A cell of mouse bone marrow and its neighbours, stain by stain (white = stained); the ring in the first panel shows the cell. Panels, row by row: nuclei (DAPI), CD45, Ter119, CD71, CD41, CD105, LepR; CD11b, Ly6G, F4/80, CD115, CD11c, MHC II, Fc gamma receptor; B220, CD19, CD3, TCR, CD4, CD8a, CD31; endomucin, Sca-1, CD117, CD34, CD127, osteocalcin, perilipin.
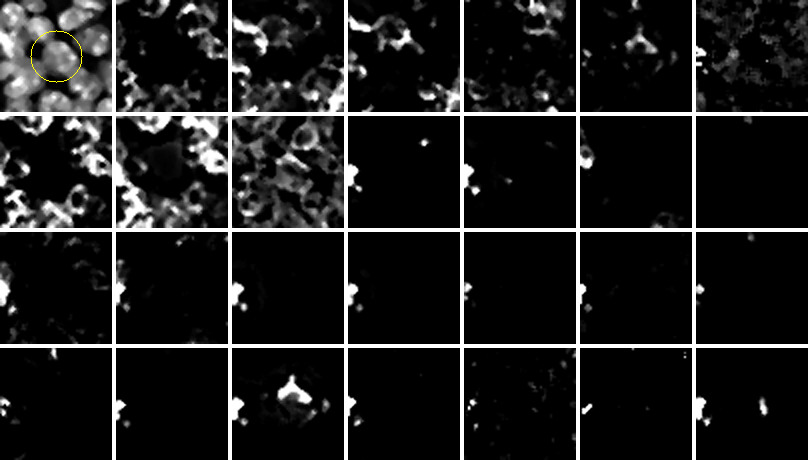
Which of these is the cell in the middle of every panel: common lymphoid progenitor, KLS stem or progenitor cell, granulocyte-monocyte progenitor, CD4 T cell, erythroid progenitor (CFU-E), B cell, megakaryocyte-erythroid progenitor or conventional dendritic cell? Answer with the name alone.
megakaryocyte-erythroid progenitor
